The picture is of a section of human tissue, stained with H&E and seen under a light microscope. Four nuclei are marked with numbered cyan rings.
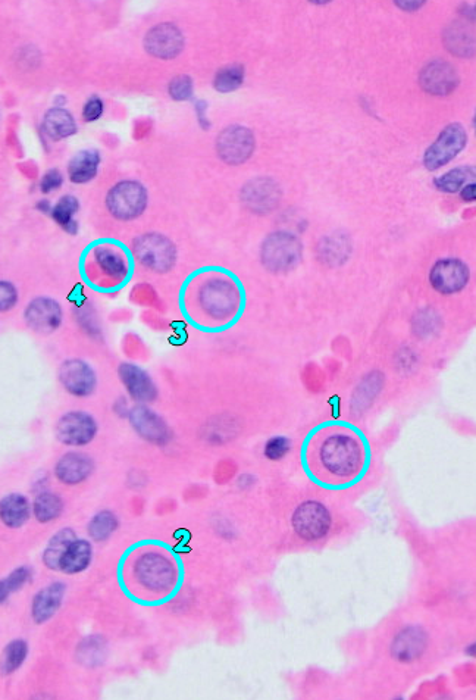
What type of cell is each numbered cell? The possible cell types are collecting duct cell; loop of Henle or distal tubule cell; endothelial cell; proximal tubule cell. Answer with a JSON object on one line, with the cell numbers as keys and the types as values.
{"1": "proximal tubule cell", "2": "proximal tubule cell", "3": "proximal tubule cell", "4": "endothelial cell"}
